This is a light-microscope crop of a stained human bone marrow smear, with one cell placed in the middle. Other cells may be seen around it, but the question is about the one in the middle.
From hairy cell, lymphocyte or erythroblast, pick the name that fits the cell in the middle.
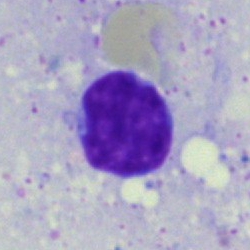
lymphocyte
